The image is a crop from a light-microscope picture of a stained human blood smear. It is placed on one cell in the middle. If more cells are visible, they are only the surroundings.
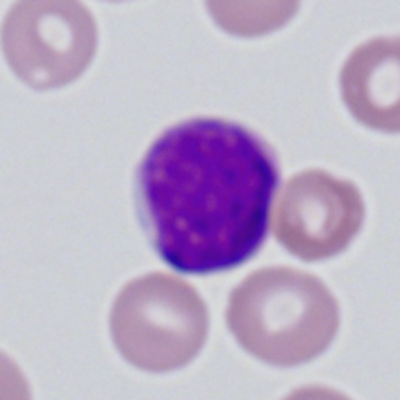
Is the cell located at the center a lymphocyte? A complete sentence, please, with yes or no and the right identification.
Yes, within this crop, the central cell is a lymphocyte.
